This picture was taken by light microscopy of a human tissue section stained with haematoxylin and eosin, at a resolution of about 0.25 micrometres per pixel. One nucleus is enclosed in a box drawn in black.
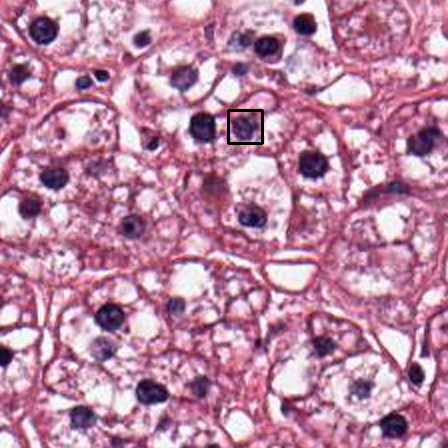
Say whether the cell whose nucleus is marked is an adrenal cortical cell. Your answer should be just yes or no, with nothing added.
yes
